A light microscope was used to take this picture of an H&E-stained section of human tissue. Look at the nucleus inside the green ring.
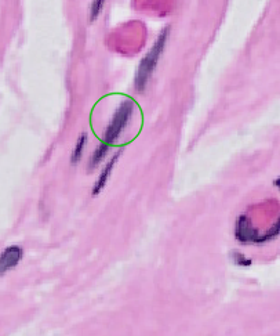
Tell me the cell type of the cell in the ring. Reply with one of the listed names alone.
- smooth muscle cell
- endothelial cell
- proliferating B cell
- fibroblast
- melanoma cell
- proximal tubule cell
endothelial cell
